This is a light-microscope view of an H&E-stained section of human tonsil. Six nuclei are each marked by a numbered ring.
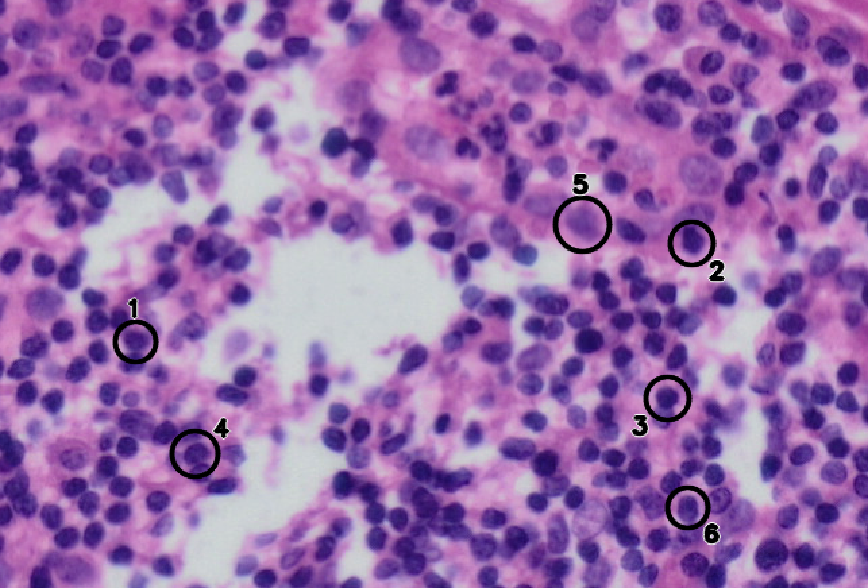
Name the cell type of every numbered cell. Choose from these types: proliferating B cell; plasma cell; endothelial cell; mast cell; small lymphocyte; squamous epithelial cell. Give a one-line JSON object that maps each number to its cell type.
{"1": "small lymphocyte", "2": "endothelial cell", "3": "small lymphocyte", "4": "small lymphocyte", "5": "endothelial cell", "6": "small lymphocyte"}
